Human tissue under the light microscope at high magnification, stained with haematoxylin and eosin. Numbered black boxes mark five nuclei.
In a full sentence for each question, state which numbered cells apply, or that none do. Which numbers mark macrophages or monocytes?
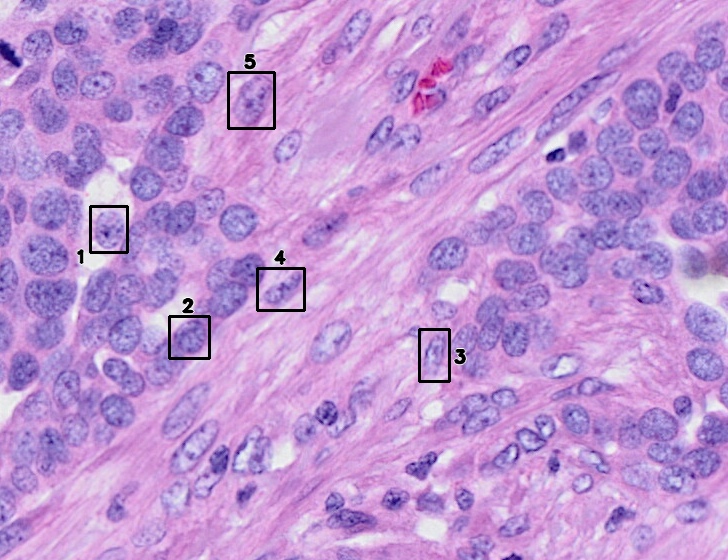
Cell 1 is a macrophage or monocyte, while all remaining marked cells are of other types.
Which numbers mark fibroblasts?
In this section, the cells numbered 3, 4 and 5 are fibroblasts.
